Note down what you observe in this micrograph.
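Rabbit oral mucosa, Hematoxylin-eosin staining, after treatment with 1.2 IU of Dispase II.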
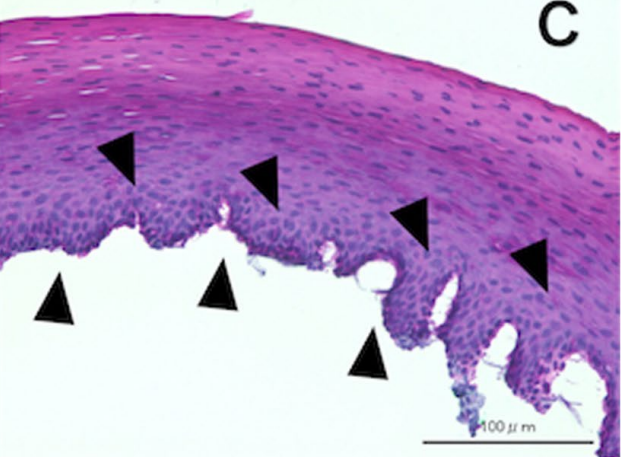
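The sheet is many cells thick. Its lower edge is uneven, with rounded downward projections and small gaps, and is bordered by crowded small cells with dark purple nuclei that give this zone a deep purple colour. Above, the cells gradually enlarge and then flatten, with elongated nuclei lying parallel to the surface, and the staining becomes pinker. The uppermost layers form a smooth, pale pink flattened surface. No fibrous connective tissue remains beneath the epithelium.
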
